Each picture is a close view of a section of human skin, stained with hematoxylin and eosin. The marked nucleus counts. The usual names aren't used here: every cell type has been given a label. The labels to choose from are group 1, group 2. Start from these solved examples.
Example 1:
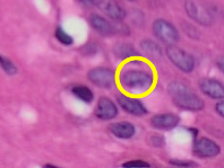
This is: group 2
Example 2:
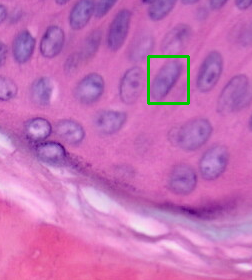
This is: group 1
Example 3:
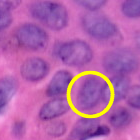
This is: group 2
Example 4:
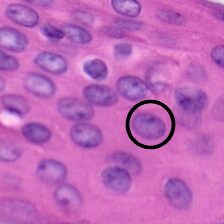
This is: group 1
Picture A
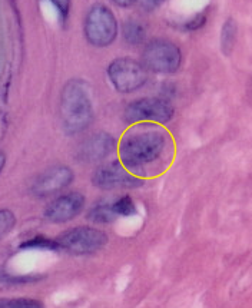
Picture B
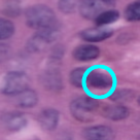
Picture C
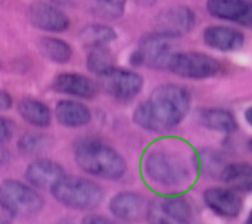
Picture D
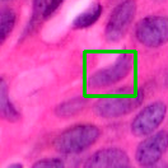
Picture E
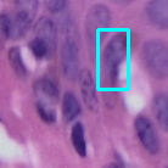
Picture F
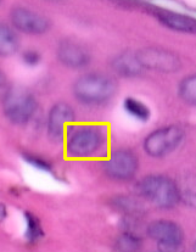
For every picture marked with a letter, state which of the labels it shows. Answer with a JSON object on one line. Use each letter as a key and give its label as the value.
{"A": "group 2", "B": "group 2", "C": "group 1", "D": "group 2", "E": "group 2", "F": "group 2"}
